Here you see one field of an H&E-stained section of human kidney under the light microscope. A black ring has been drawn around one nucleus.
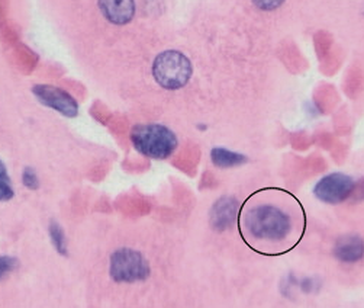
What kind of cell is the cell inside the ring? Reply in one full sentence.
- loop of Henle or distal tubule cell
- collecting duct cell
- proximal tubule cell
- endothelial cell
In cell-type terms, the cell inside the ring is a proximal tubule cell.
